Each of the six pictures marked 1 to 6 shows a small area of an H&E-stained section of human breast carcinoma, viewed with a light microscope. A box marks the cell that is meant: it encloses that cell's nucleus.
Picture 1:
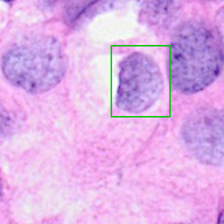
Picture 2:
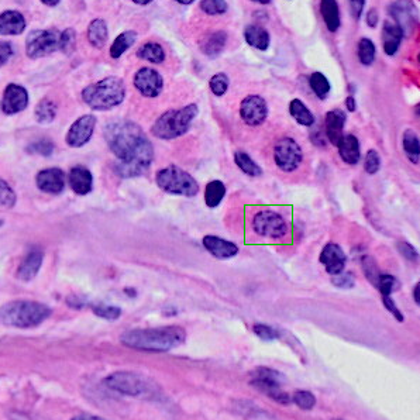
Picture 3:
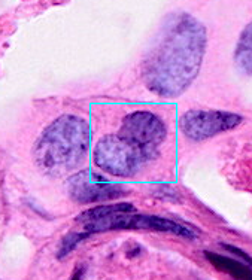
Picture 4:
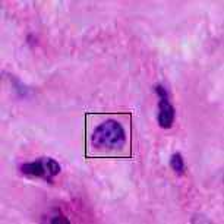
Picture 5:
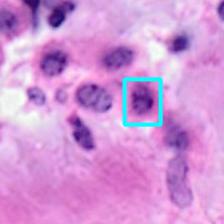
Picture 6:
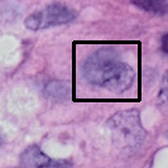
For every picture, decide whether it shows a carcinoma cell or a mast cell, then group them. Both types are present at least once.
1: carcinoma cell
2: mast cell
3: carcinoma cell
4: mast cell
5: mast cell
6: carcinoma cell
